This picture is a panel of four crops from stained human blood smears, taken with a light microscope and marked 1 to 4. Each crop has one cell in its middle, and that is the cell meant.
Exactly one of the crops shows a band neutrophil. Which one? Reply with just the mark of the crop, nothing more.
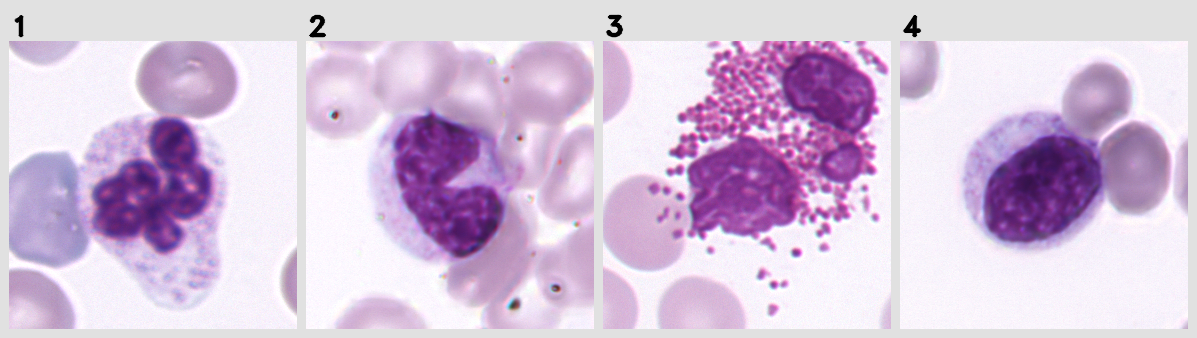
2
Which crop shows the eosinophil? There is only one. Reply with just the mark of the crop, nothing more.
3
